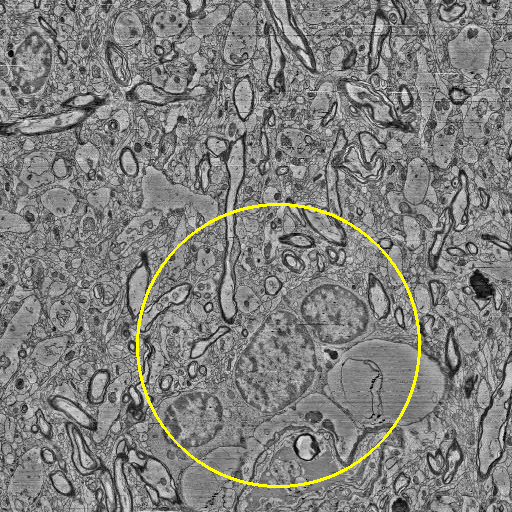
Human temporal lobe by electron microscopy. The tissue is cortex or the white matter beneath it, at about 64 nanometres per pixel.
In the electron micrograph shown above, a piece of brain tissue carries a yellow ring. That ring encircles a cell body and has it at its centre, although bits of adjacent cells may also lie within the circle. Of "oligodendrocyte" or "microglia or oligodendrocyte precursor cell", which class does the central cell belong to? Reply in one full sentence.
The cell body at the centre of the yellow ring belongs to an oligodendrocyte.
